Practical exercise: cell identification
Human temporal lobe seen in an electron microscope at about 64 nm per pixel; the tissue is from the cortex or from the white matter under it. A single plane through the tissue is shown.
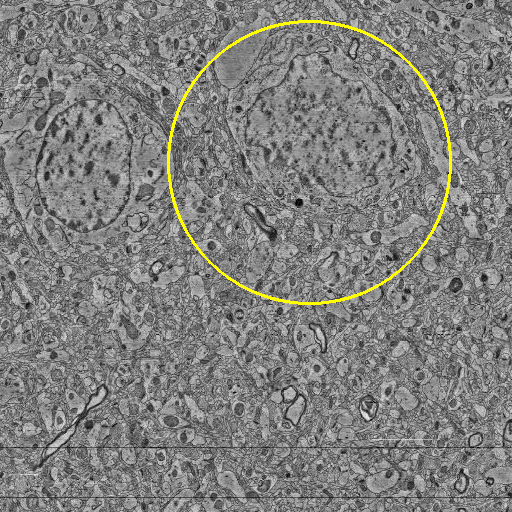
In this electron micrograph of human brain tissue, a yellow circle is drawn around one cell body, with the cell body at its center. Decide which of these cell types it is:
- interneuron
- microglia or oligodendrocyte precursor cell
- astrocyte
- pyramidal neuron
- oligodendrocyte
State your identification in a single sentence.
The ringed cell is an interneuron.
